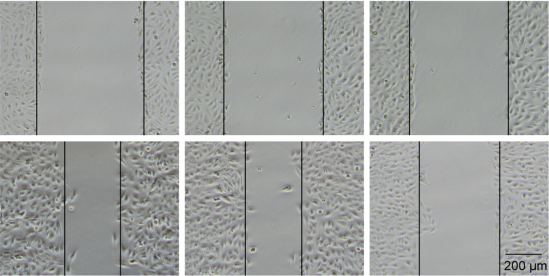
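In every image a vertical cell-free band crosses the field, its edges marked by two black vertical lines. The cells on either side are flattened, spindle-shaped to polygonal, with bright, refractile borders, and they lie closely packed. In the upper row the bands are wide and nearly empty. In the lower row the bands are mostly narrower, and scattered elongated cells lie within the gaps, having spread beyond the former edges.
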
